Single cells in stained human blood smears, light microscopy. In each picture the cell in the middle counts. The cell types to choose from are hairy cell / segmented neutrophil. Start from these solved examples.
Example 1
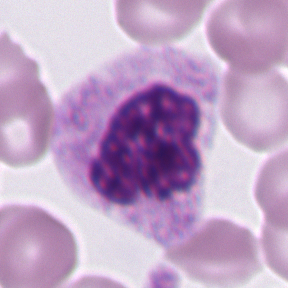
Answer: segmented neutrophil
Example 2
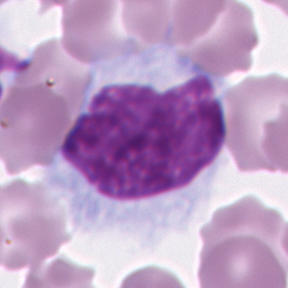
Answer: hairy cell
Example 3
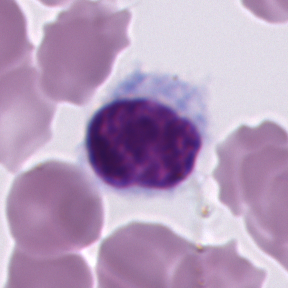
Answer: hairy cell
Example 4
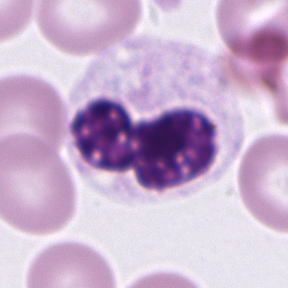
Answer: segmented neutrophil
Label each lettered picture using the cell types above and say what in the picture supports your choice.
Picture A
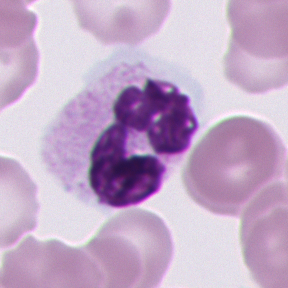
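segmented neutrophil. Reason: The cytoplasm is plentiful and pale pinkish-lilac, widest on the left side of the cell.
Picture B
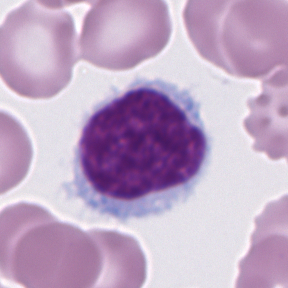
hairy cell. Reason: The cytoplasm forms a narrow rim that is widest on the lower left side.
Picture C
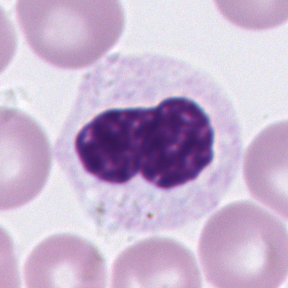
segmented neutrophil. Reason: The cytoplasm forms a wide rim around the whole nucleus.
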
